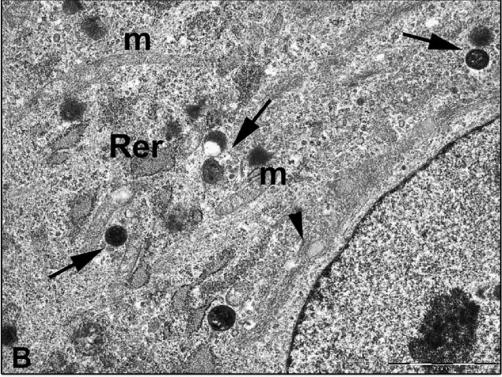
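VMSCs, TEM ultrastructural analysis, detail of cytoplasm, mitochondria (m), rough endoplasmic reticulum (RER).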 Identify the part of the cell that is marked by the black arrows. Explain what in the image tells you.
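They lie scattered in the cytoplasm between mitochondria and cisternae. So: primary lysosomes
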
